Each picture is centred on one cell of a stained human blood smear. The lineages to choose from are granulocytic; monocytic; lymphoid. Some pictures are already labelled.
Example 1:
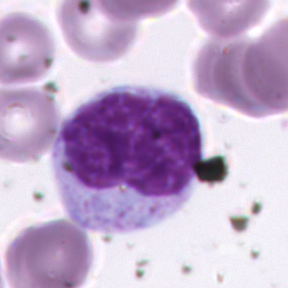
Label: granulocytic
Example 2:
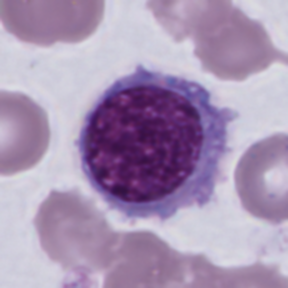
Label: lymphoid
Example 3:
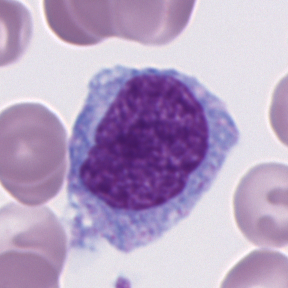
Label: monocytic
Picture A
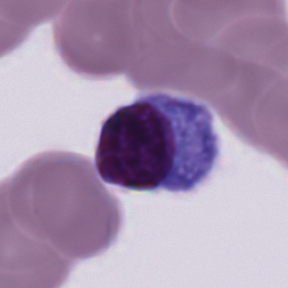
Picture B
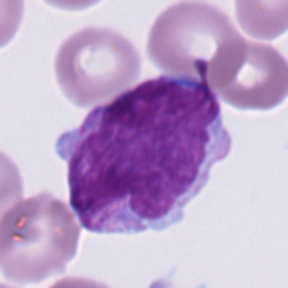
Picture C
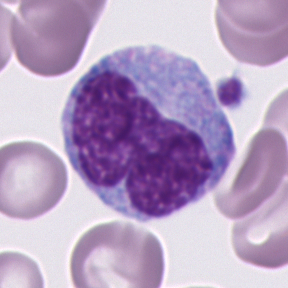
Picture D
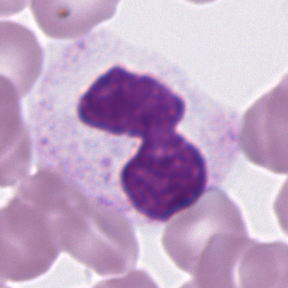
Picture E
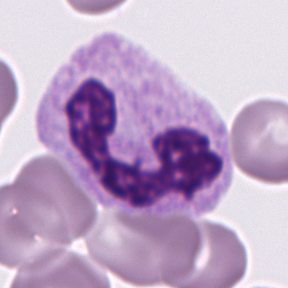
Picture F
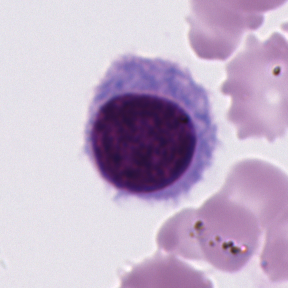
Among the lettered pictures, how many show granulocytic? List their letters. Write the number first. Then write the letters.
Count: 3 (B, D, E)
